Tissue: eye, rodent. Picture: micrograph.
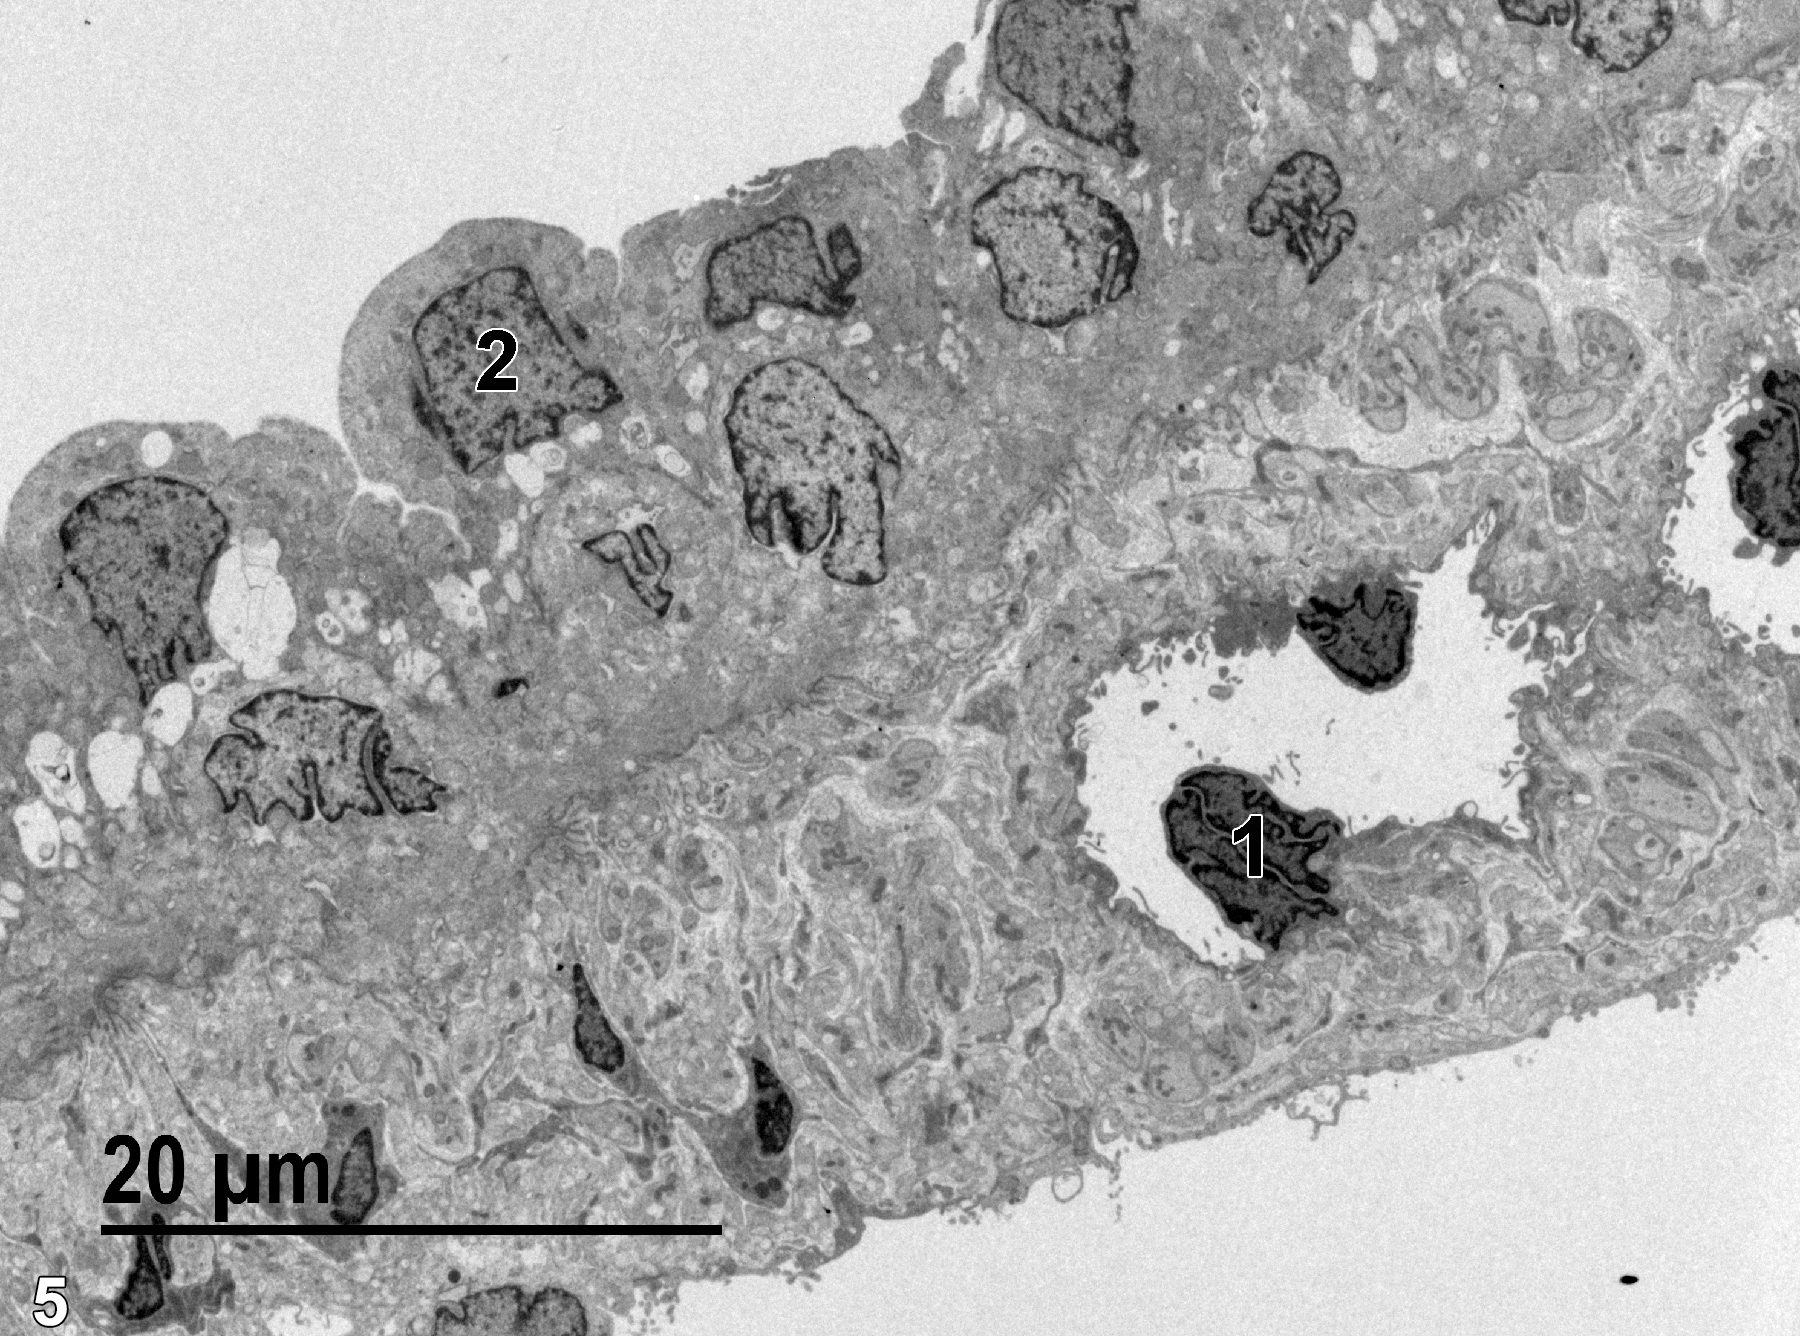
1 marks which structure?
Endothelial nucleus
